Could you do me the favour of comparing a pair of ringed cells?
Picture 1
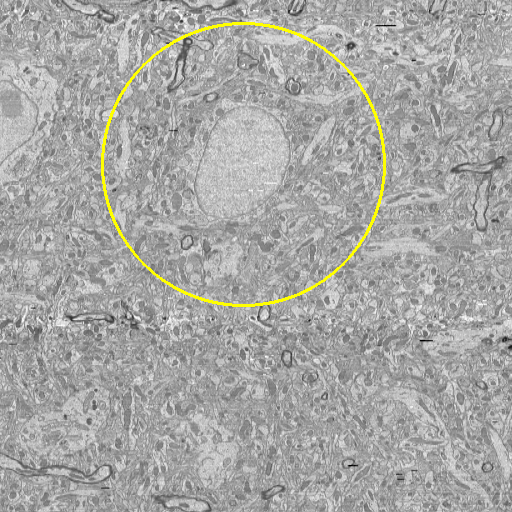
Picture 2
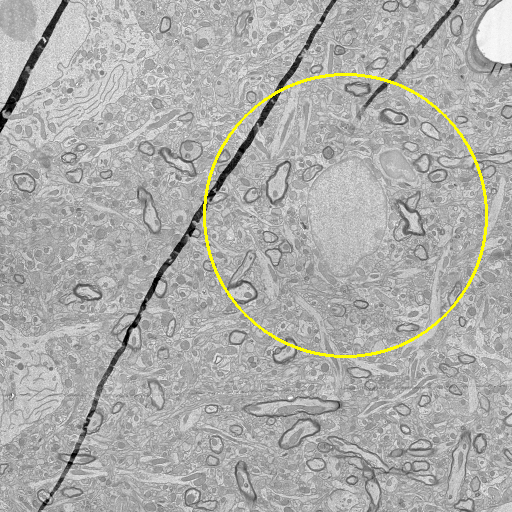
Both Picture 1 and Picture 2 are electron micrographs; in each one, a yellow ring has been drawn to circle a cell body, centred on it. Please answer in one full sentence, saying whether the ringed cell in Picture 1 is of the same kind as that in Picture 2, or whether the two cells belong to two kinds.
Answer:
The ringed cell in Picture 1 is of the same kind as that in Picture 2.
